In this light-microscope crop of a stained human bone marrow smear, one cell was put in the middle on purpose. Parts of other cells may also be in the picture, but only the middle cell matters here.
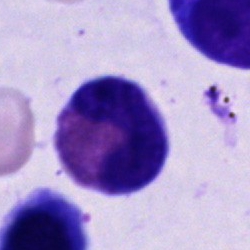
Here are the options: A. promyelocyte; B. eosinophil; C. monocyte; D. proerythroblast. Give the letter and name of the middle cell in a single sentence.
Seen at the centre of the crop is an eosinophil, so option B is correct.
